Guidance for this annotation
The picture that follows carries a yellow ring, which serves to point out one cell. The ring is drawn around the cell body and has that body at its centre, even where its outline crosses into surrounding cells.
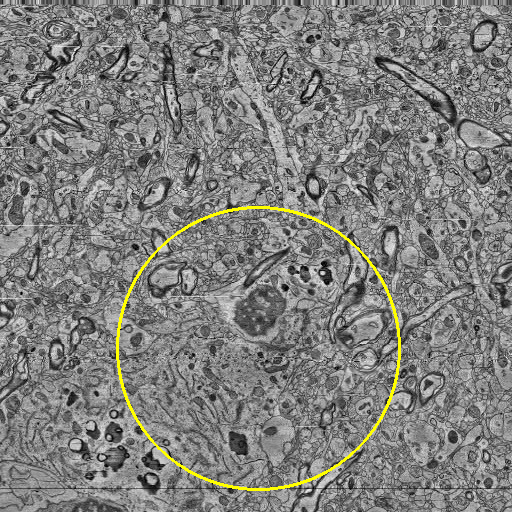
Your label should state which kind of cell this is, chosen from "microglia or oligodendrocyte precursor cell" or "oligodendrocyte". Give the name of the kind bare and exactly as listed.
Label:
microglia or oligodendrocyte precursor cell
